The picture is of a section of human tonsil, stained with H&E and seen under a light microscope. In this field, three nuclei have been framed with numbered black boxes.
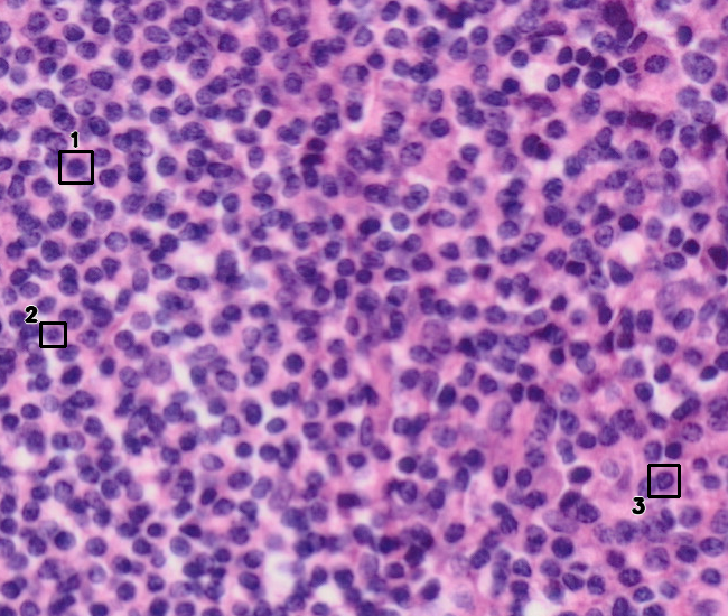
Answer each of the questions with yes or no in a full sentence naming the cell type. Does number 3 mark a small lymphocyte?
No, the one with number 3 is a plasma cell, not a small lymphocyte.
